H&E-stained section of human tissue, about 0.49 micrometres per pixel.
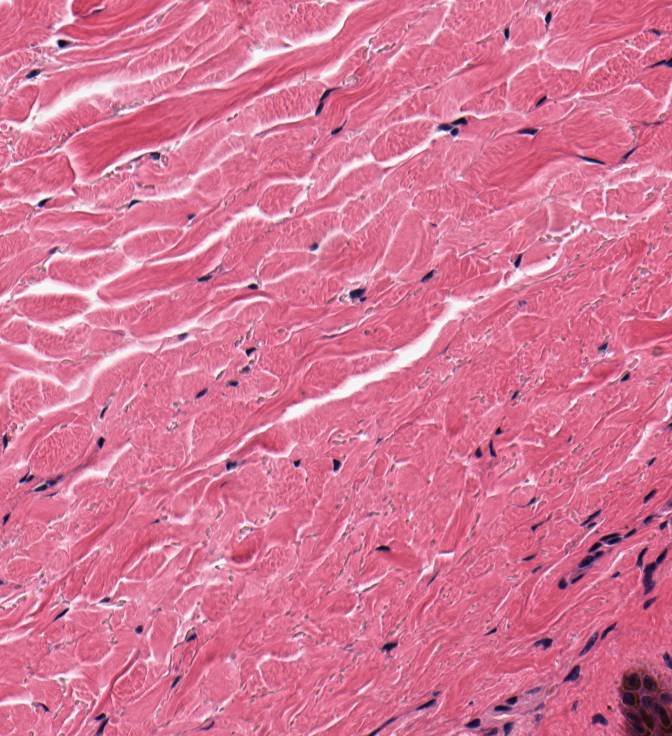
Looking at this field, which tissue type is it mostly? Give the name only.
dermis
